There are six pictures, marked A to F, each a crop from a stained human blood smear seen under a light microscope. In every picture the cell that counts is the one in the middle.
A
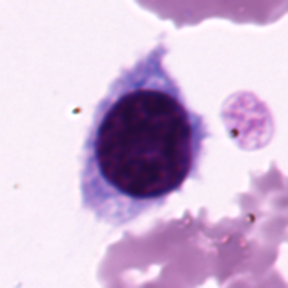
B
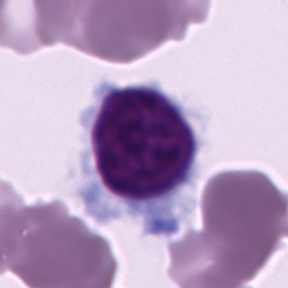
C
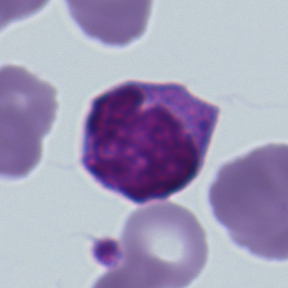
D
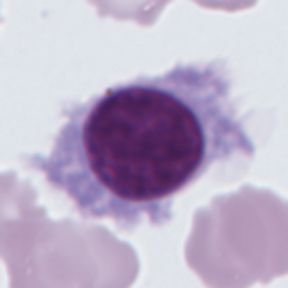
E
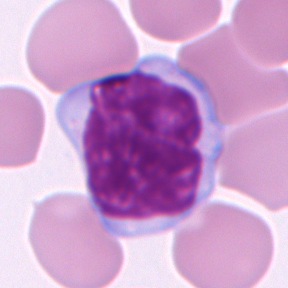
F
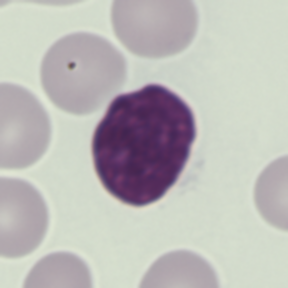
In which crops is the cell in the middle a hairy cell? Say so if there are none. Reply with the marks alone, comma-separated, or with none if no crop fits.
A, B, D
